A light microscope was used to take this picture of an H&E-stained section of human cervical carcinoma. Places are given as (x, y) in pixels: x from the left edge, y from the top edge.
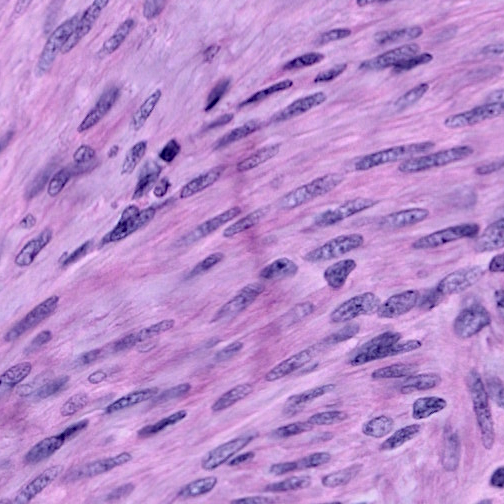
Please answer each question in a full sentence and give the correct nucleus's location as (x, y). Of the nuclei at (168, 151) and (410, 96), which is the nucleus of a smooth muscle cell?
The nucleus found at (410, 96) belongs to a smooth muscle cell.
